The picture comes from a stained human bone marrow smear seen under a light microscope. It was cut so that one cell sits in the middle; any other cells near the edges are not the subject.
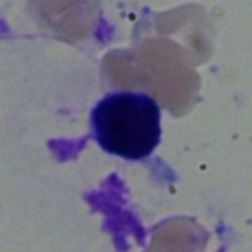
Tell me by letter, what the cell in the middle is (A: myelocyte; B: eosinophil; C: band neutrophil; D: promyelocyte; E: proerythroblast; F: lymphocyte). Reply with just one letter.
F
